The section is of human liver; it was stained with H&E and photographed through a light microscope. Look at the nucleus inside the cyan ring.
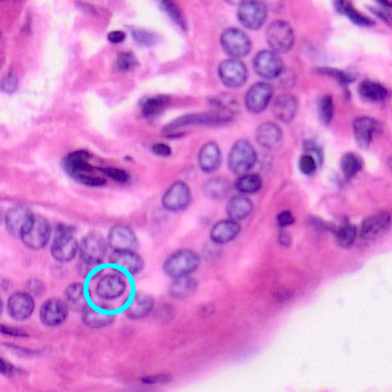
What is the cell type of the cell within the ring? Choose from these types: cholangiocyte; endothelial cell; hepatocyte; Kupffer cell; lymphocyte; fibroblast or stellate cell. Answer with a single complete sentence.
In this field of tissue, the cell within the ring is a cholangiocyte.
